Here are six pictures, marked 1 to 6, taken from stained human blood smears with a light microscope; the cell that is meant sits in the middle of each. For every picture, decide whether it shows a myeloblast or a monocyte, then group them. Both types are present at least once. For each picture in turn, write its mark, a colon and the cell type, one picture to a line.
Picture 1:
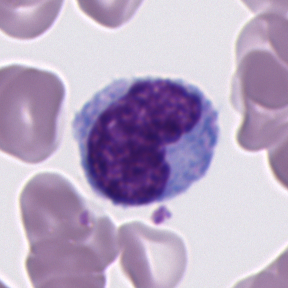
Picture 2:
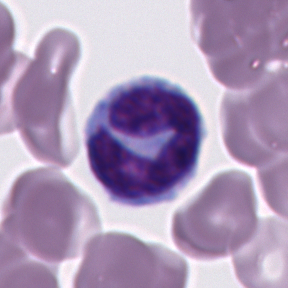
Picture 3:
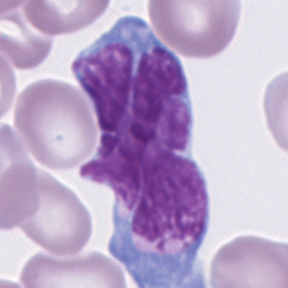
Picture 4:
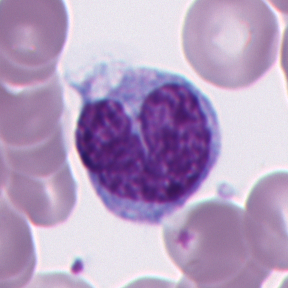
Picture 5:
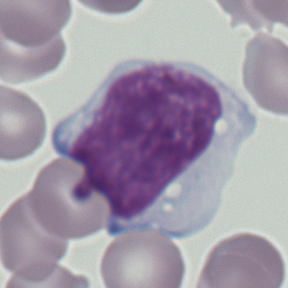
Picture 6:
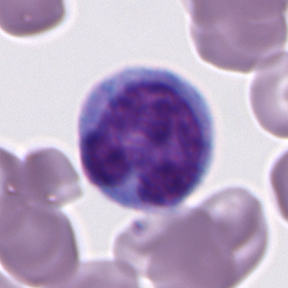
1: monocyte
2: monocyte
3: myeloblast
4: monocyte
5: myeloblast
6: monocyte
